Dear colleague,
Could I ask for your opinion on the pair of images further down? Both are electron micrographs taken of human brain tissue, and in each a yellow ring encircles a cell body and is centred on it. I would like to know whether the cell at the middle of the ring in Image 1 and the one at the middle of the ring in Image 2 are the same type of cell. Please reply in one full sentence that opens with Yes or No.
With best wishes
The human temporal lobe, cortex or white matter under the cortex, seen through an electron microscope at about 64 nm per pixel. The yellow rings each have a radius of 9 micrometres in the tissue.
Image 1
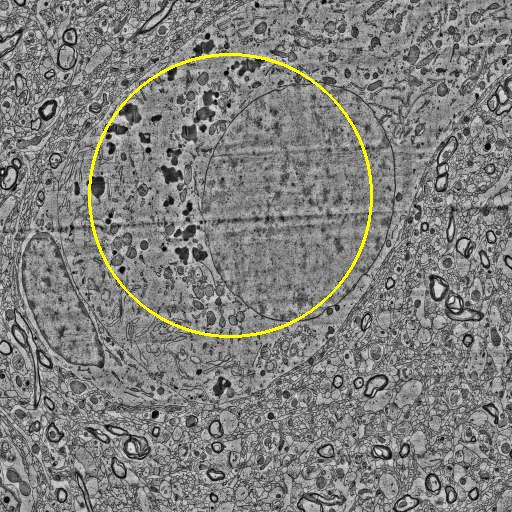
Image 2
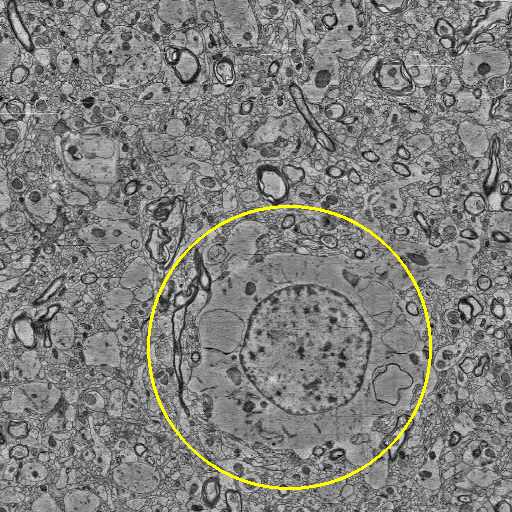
No, the cells at the ring centres in Image 1 and Image 2 are of two types.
